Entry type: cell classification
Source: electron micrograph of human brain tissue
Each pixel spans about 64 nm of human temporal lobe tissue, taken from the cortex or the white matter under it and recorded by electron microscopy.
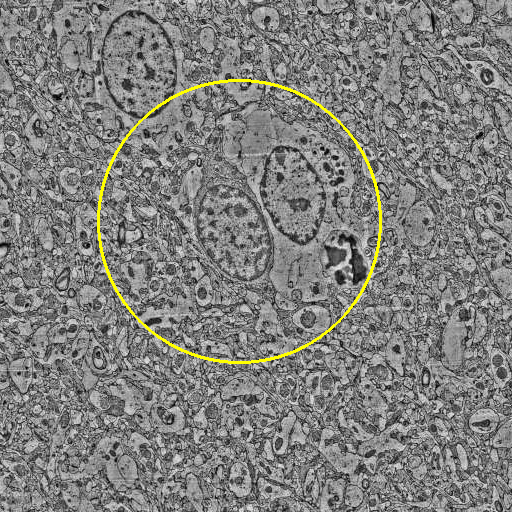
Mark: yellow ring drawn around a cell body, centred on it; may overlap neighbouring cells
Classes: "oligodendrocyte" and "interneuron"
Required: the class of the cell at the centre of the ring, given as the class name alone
oligodendrocyte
